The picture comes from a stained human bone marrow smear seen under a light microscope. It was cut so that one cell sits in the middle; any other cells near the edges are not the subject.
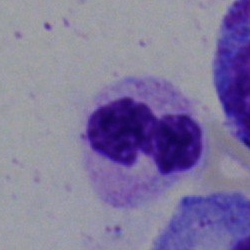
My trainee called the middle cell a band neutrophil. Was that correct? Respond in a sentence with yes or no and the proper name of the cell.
No, it is a segmented neutrophil that sits in the middle, not a band neutrophil.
